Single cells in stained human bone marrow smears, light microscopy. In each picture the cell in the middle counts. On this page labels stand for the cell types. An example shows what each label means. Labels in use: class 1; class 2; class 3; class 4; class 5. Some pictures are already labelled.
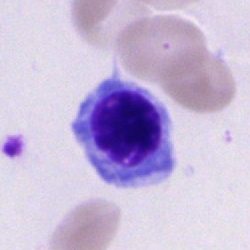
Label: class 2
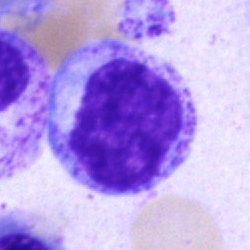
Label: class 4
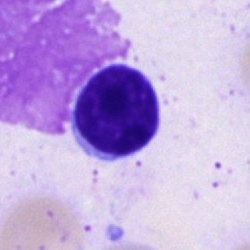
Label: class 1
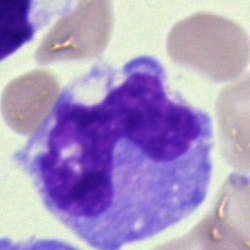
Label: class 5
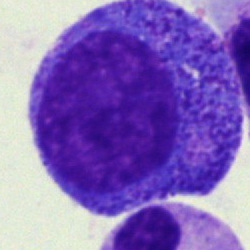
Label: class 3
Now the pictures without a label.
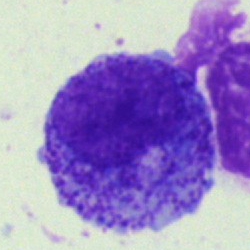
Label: class 3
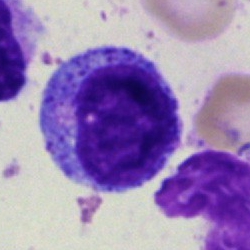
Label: class 4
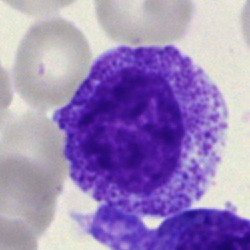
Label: class 4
